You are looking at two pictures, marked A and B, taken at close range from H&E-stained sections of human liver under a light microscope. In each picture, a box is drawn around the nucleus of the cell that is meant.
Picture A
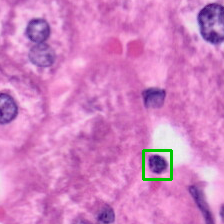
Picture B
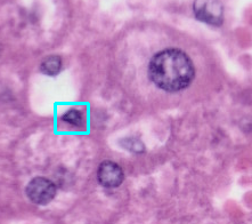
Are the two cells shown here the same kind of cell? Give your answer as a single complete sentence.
No, picture A shows a lymphocyte and picture B shows a “fibroblast or stellate cell”.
